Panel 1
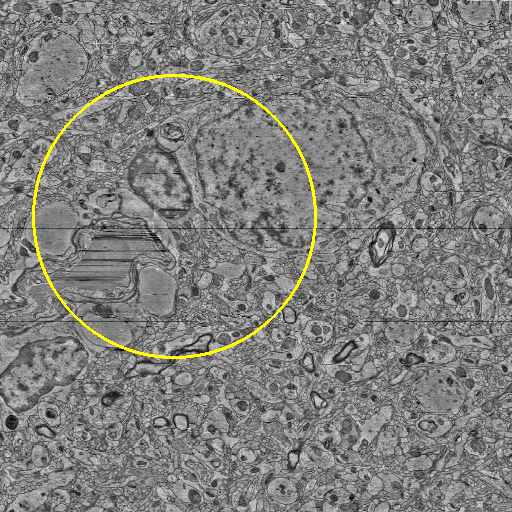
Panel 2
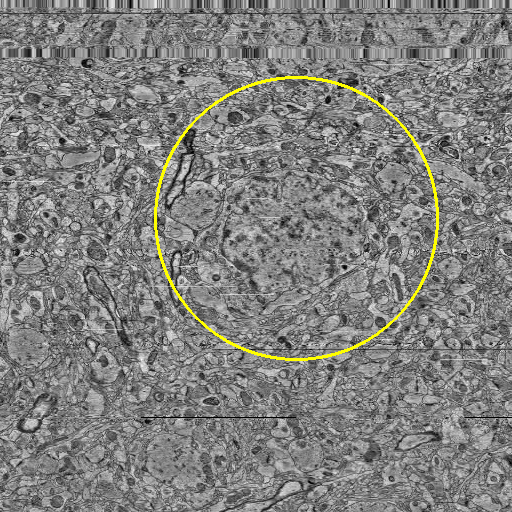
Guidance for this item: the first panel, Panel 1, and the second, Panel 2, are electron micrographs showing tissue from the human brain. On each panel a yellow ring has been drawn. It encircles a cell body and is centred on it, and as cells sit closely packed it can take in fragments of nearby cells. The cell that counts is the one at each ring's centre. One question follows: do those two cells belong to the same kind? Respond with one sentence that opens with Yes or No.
No, the cells at the ring centres in Panel 1 and Panel 2 are of two kinds.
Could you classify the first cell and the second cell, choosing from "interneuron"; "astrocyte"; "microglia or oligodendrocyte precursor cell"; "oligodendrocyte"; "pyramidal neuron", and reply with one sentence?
The second cell is an interneuron, while the first is an oligodendrocyte.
